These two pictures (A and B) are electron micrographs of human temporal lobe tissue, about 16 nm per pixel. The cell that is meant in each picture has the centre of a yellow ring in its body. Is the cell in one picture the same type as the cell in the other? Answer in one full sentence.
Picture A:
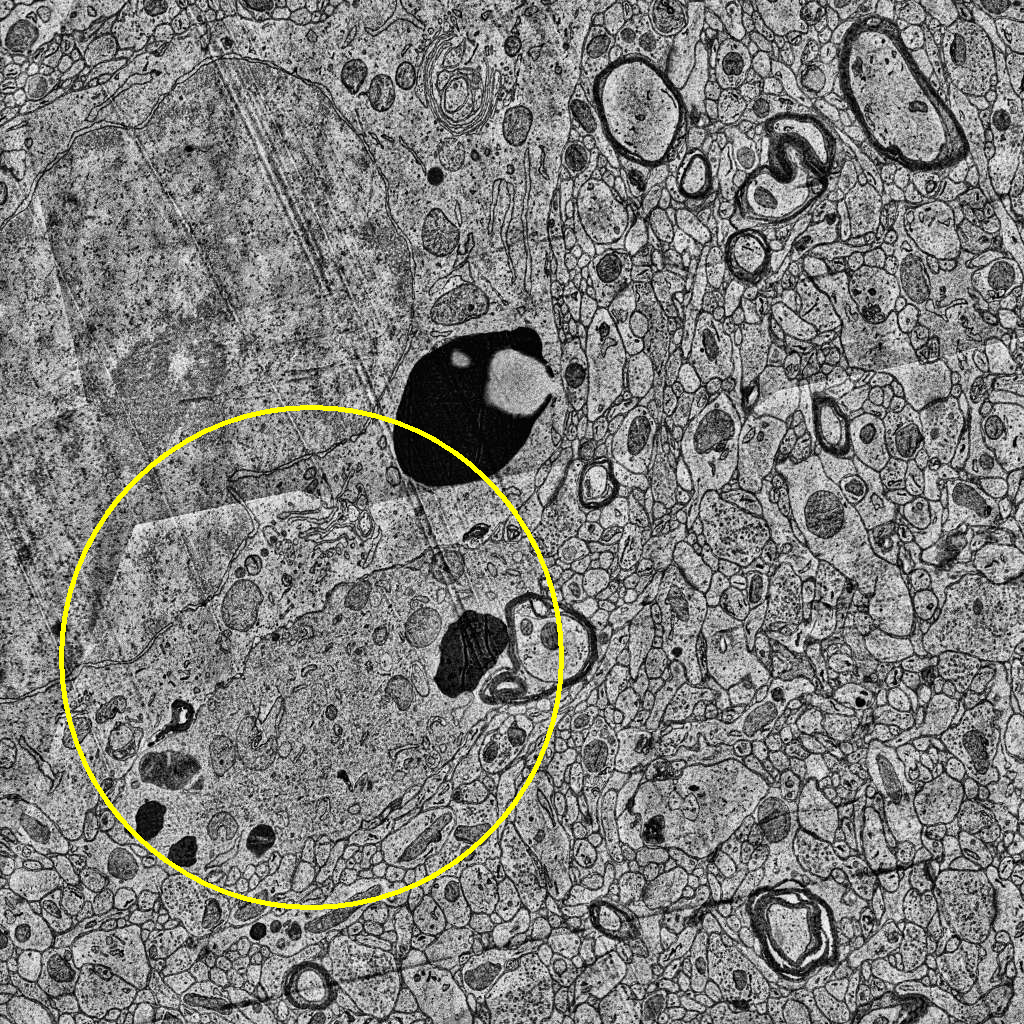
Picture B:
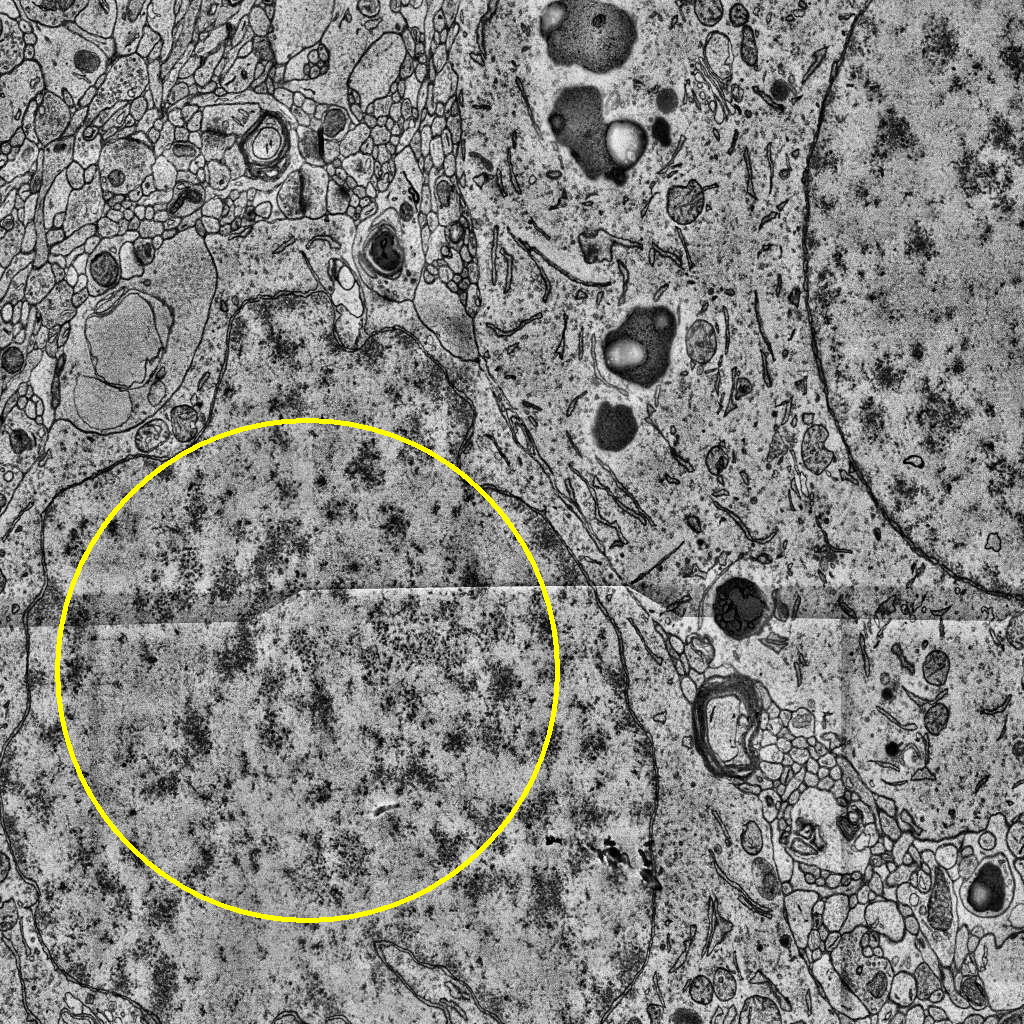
No, they differ: the cell is an oligodendrocyte in picture A and an interneuron in picture B.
